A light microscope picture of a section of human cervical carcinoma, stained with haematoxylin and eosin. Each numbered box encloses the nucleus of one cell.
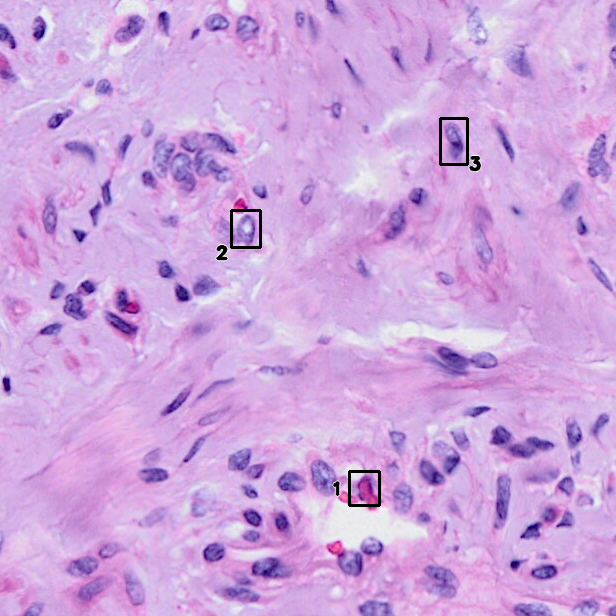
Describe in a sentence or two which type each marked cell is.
Cells 1 and 2 are endothelial cells. Cell 3 is a fibroblast.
